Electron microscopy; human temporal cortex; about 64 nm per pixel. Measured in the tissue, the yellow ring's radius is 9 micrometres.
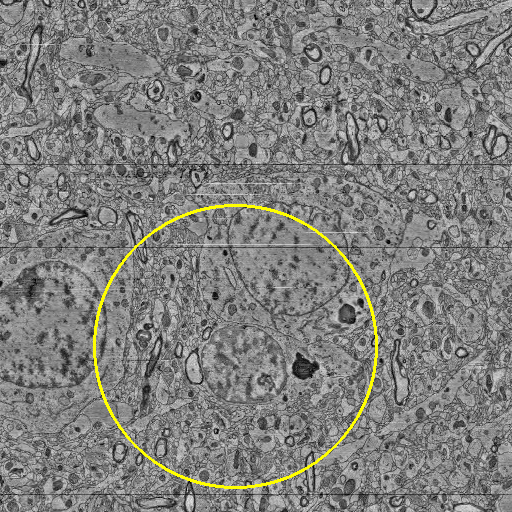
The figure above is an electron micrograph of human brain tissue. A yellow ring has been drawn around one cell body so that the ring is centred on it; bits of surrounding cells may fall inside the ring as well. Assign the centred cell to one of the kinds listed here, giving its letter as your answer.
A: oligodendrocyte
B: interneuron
A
